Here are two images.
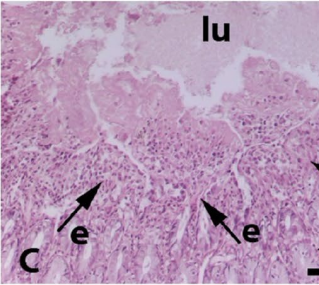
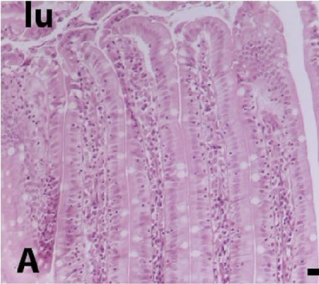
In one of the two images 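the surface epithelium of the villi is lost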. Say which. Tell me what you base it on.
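First image: villi are blunted and fused with a ragged surface lacking an intact epithelial lining, with debris in the lumen. Second image: tall slender villi each covered by a continuous columnar epithelium.
Answer: the first image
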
